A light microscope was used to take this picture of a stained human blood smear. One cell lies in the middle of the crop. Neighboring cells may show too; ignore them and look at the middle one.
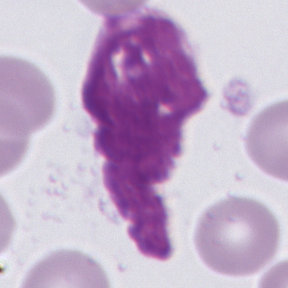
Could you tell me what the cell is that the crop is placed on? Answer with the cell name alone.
smudge cell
